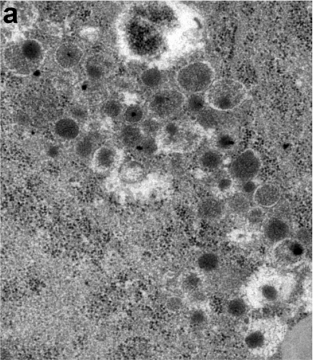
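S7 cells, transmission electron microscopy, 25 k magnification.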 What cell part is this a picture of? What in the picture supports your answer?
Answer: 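Many small round membrane-bound vesicles are clustered in the cytoplasm. Most vesicles have a dark, electron-dense core. Some cores are separated from the vesicle membrane by a pale halo. On this evidence: endocrine granules.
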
